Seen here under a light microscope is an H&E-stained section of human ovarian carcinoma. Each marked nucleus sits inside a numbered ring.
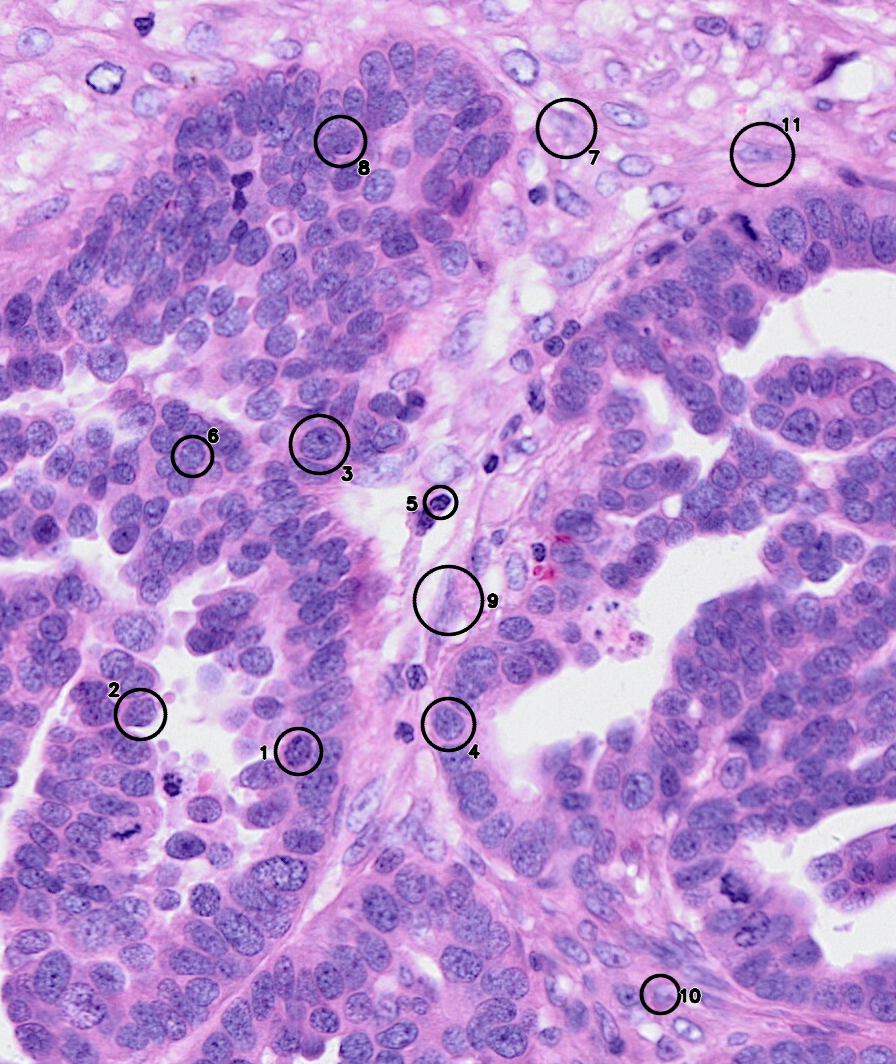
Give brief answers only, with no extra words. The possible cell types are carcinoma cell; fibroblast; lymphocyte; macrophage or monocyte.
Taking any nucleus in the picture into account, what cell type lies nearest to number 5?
macrophage or monocyte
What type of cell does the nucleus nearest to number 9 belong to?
fibroblast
